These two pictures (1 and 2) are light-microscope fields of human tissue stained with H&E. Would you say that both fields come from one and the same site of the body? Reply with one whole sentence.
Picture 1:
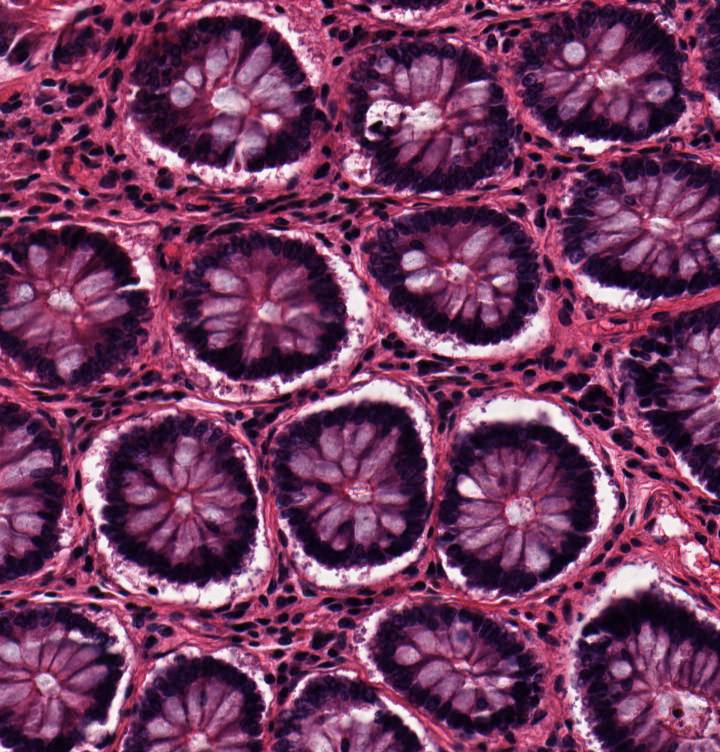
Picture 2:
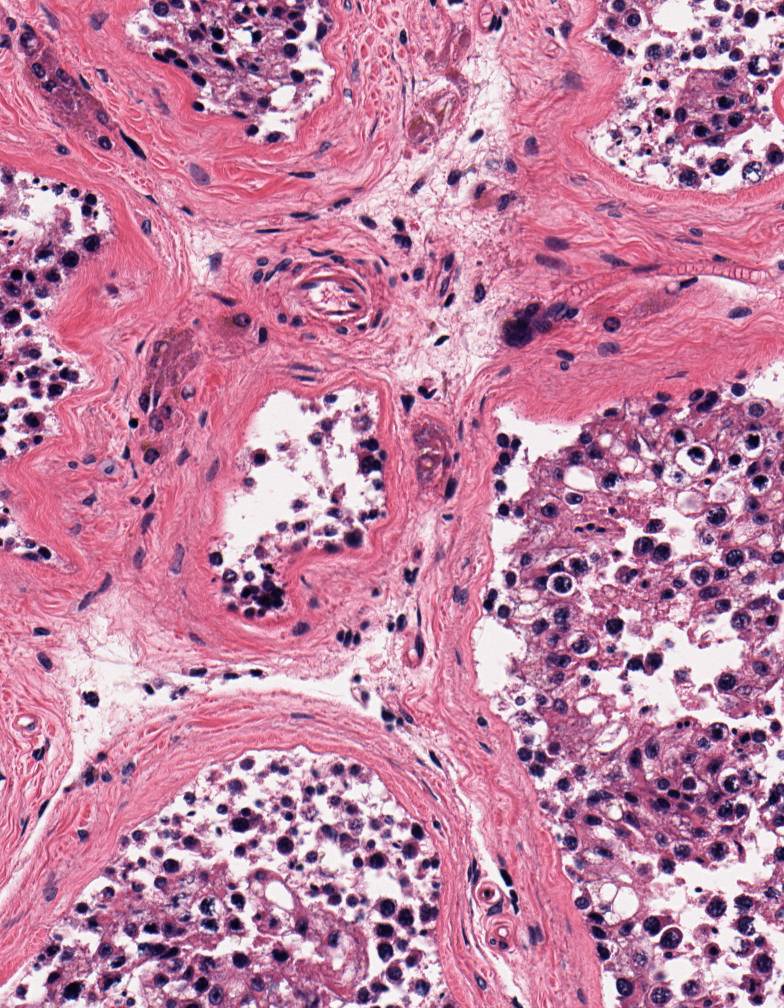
No. Picture 1 comes from the transverse colon, whereas picture 2 comes from the testis.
